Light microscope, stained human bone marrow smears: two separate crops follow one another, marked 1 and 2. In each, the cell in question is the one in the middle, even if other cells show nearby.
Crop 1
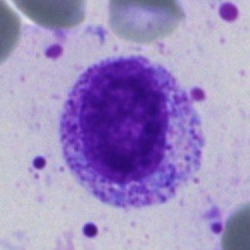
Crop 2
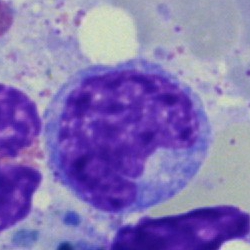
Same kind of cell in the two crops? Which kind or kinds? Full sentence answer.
No, crop 1 shows a myelocyte, and the cell in crop 2 is a monocyte.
